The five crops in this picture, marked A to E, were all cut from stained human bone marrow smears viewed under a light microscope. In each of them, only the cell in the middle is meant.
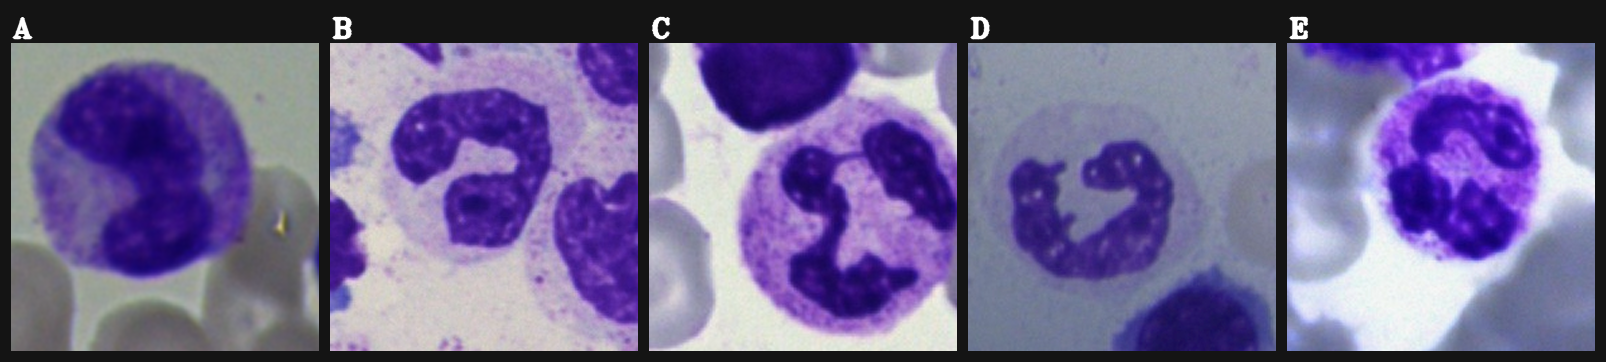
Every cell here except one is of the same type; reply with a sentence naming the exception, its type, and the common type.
Crop A is the one that is a band neutrophil, and the other crops all show segmented neutrophils.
